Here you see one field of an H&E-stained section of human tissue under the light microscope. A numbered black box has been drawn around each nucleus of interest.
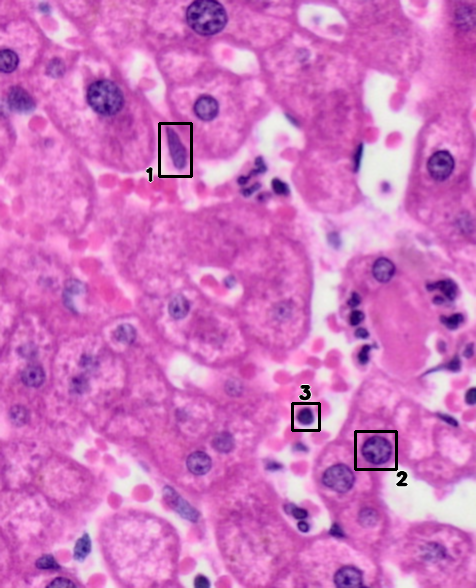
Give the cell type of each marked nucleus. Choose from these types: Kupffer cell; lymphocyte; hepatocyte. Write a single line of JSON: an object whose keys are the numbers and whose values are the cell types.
{"1": "Kupffer cell", "2": "hepatocyte", "3": "lymphocyte"}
